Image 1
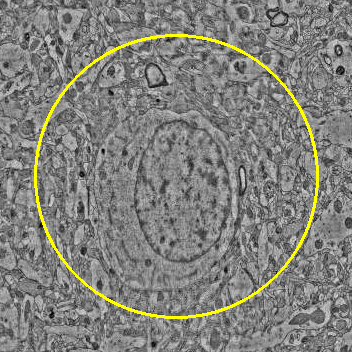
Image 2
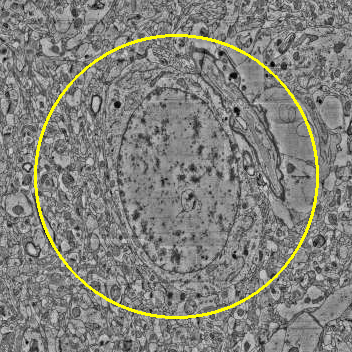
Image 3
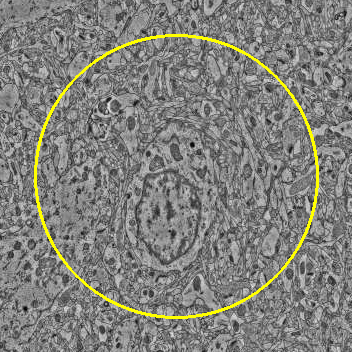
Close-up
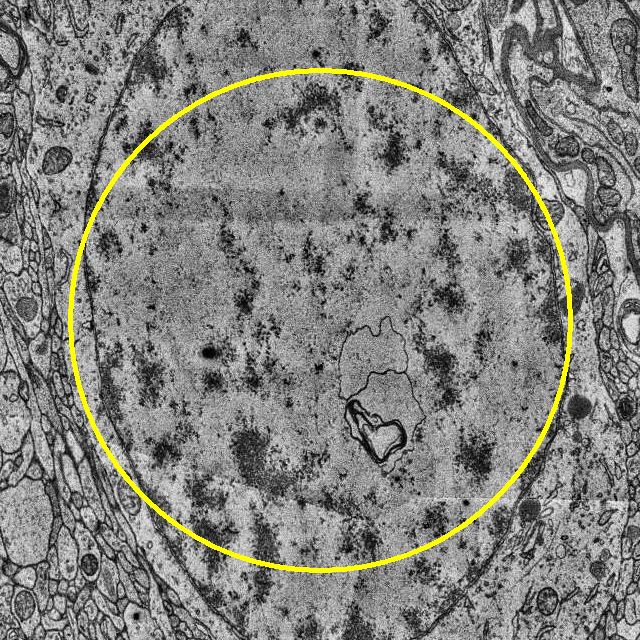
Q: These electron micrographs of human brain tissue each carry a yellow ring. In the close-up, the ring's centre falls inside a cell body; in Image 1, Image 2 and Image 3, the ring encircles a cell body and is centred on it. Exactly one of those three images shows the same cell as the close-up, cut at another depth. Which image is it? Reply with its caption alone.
Image 2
